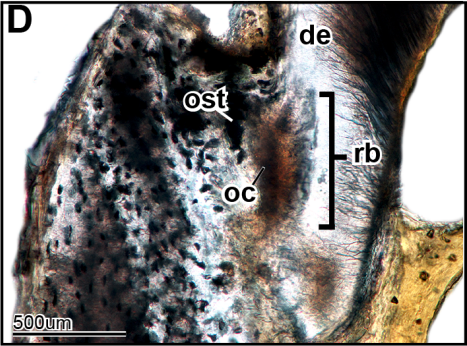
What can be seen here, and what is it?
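This view shows the junction between jaw bone and the base of a tooth, where bone is being resorbed. On the left, the bone is densely dotted with small dark lacunae scattered through a pale matrix. On the right, the dentine of the tooth shows fine, closely packed tubules running across its width. Between the two lies a bay-like region where the surface is being eaten away, with a large dark, brownish cell body sitting against it. Further right, a yellowish-orange bone strut borders the tooth.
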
